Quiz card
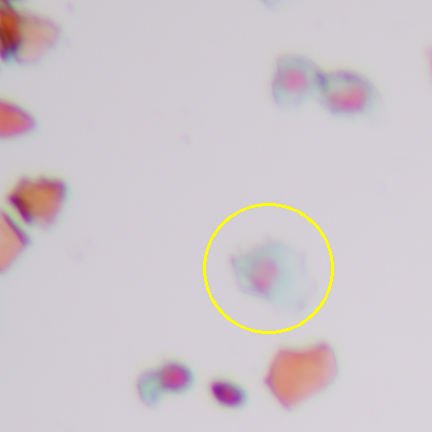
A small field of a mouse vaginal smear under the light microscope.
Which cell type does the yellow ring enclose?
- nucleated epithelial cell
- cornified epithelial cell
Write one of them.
nucleated epithelial cell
